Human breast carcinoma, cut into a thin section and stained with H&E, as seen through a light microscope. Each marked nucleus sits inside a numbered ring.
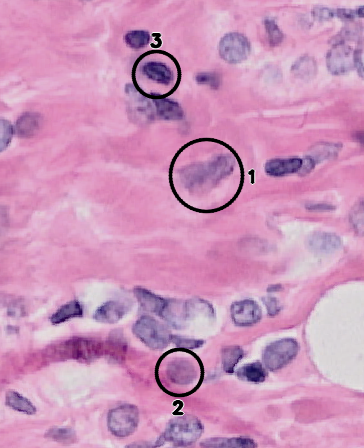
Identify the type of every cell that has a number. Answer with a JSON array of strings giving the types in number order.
["fibroblast", "carcinoma cell", "lymphocyte"]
